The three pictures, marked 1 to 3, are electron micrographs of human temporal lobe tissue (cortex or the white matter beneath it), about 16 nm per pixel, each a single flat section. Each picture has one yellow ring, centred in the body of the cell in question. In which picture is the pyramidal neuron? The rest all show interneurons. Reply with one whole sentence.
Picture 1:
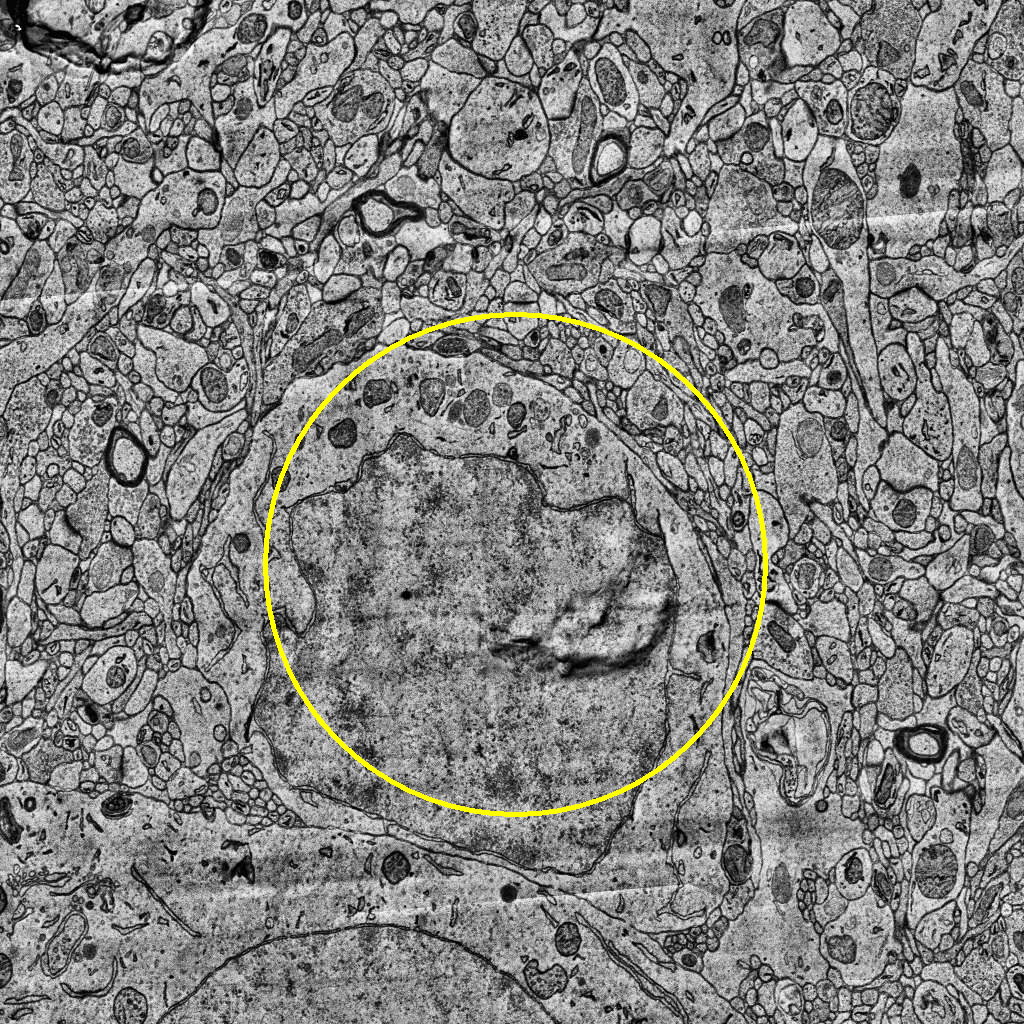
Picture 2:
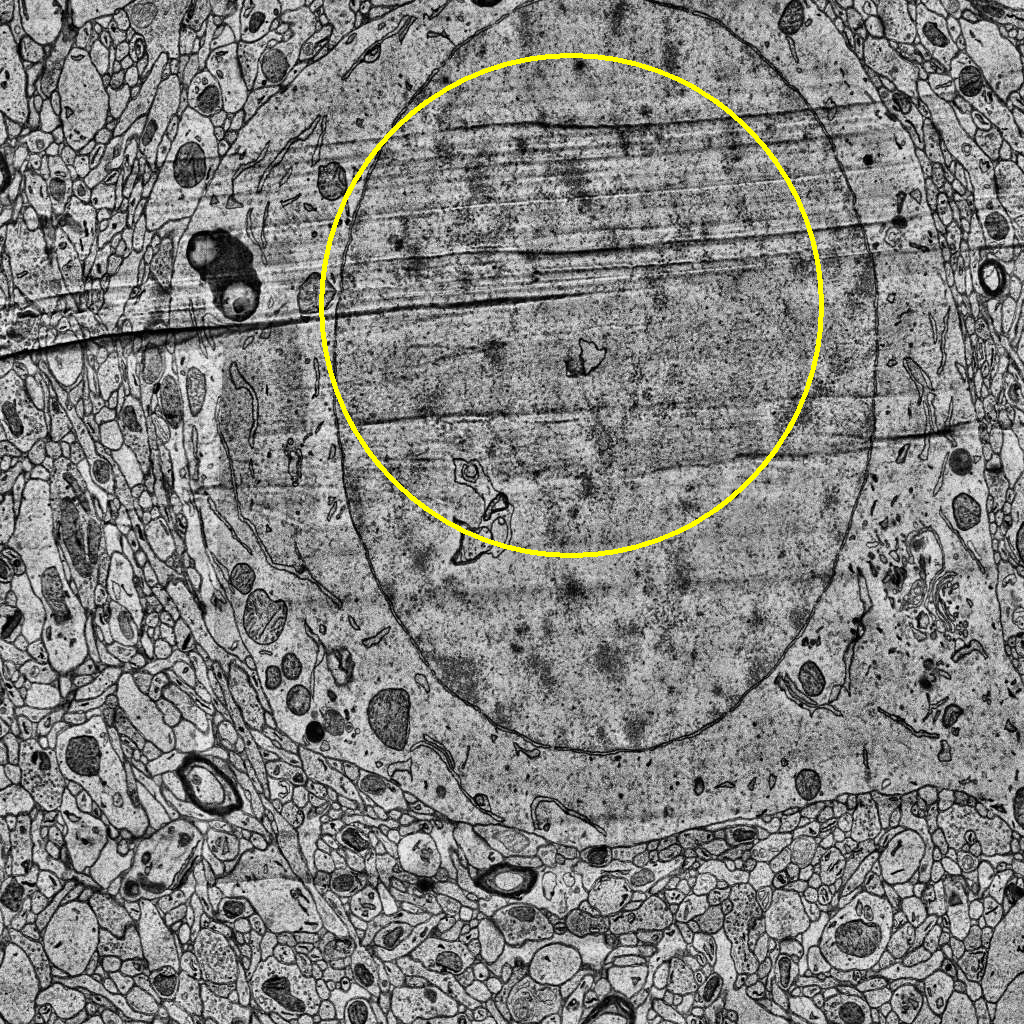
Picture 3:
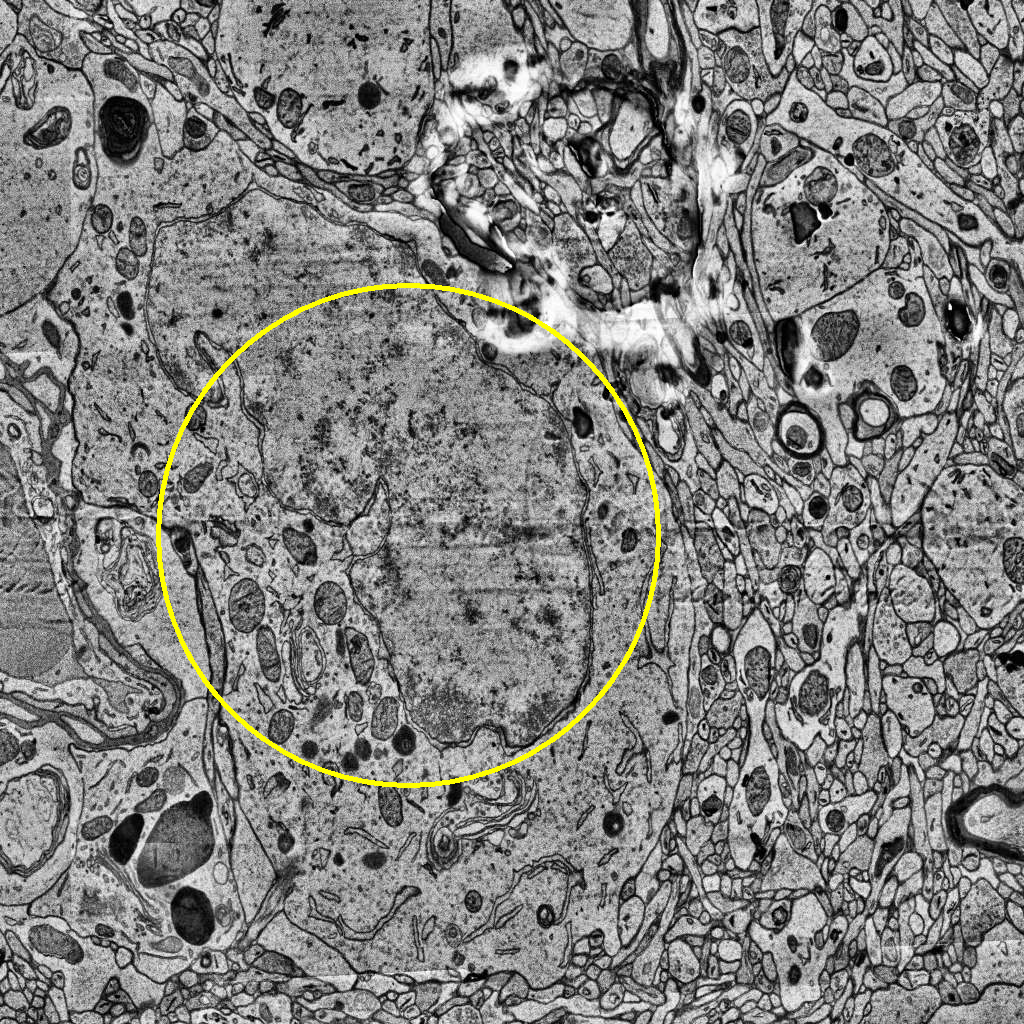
Picture 2 shows the pyramidal neuron.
